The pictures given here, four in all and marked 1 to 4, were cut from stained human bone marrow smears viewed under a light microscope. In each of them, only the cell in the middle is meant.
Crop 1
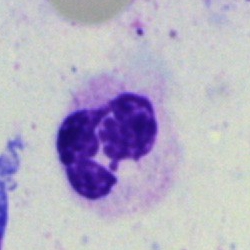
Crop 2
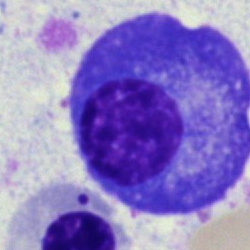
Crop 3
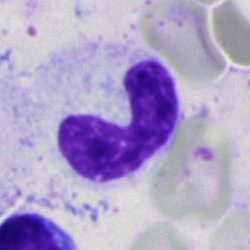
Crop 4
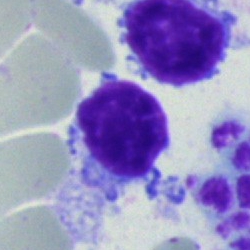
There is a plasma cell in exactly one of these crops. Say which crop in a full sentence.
Crop 2 is the crop in which a plasma cell is shown.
